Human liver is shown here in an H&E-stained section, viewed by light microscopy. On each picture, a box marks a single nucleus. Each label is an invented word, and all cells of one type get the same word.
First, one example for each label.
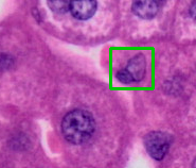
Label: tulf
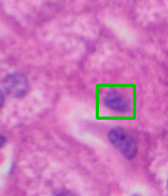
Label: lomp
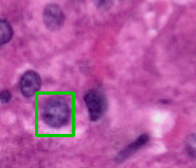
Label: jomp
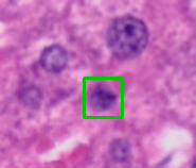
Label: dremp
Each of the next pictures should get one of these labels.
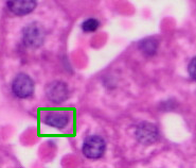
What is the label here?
lomp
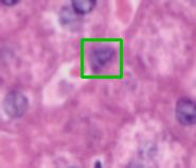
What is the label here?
dremp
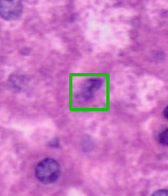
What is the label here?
dremp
